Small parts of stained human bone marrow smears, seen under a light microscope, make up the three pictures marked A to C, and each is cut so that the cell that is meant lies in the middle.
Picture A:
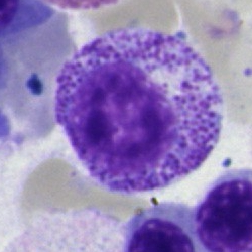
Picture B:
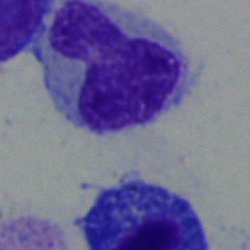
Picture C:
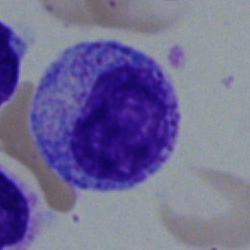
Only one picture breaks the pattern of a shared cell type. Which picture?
B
